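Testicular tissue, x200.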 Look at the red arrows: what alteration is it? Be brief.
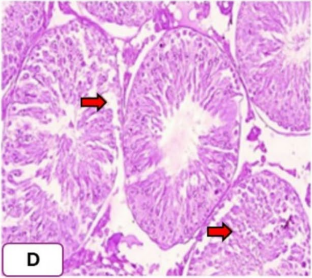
necrosis of both superficial and deep layers of the germinal epithelium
